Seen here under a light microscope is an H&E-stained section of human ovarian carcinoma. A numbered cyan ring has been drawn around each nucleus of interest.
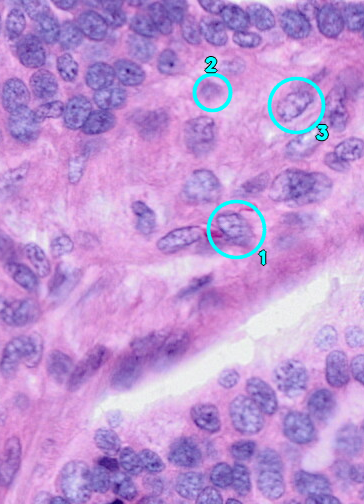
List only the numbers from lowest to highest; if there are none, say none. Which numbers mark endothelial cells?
1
